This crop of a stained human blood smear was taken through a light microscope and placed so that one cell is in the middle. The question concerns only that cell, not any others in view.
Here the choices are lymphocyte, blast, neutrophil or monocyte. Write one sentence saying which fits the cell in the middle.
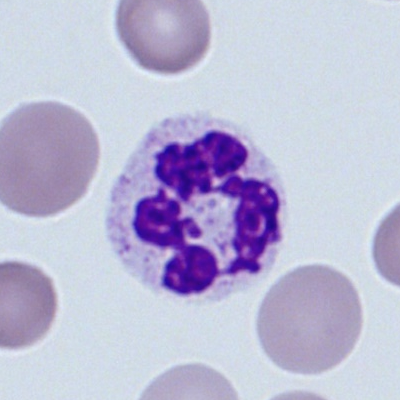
The middle of this crop holds a neutrophil.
